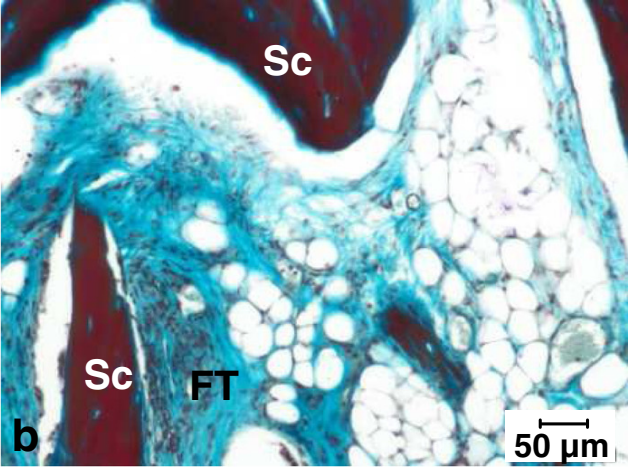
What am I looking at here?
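The fibrous tissue consists of wavy blue-green collagen fibres with many small dark elongated nuclei, densest alongside the scaffold surface. Large round empty vacuolated spaces, resembling fat cells, fill the region beside the fibrous band. No blue bone matrix with embedded cells is seen against the scaffold.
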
